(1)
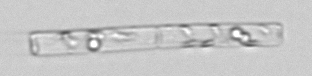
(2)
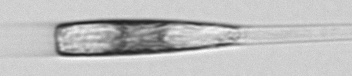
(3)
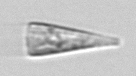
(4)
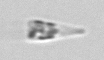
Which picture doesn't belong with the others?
Picture 1.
